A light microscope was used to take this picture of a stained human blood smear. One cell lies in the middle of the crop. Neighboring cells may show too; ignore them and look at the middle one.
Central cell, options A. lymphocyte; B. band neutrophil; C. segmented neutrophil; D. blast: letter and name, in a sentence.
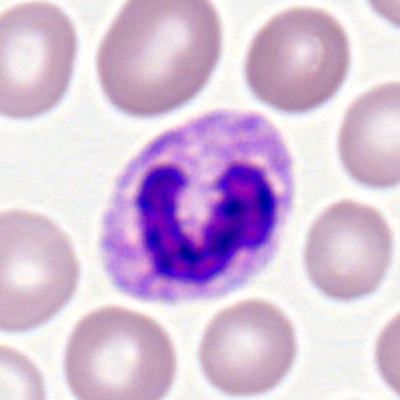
The correct choice is option B, which identifies the middle cell as a band neutrophil.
